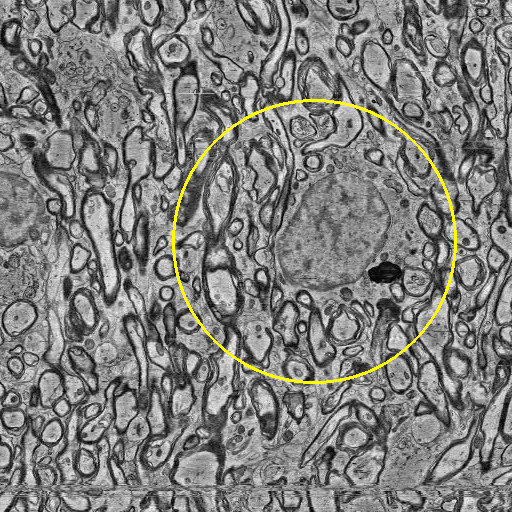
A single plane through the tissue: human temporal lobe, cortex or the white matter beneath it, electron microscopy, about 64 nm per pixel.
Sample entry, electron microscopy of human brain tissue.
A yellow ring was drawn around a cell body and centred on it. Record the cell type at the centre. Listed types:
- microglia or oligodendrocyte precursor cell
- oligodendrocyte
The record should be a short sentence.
The cell at the ring's centre is an oligodendrocyte.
